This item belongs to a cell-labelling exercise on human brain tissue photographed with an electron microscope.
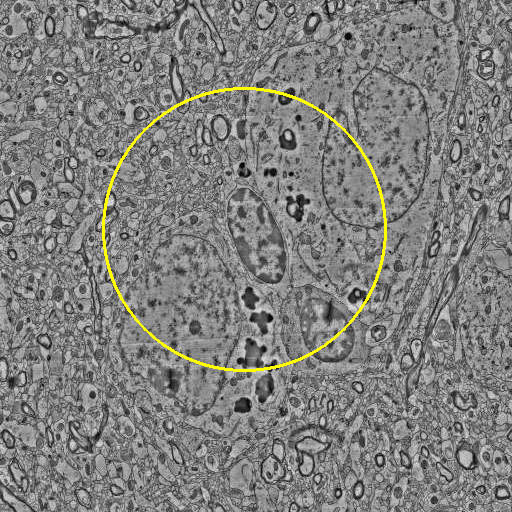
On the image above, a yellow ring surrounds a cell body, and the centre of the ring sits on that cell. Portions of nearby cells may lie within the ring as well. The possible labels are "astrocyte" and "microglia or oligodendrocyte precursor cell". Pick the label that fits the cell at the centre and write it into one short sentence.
This cell should be labelled as a microglial cell or oligodendrocyte precursor cell.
